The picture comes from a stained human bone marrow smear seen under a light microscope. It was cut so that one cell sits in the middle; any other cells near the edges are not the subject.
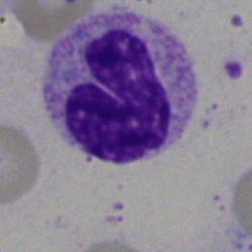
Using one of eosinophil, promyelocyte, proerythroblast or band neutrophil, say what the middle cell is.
band neutrophil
